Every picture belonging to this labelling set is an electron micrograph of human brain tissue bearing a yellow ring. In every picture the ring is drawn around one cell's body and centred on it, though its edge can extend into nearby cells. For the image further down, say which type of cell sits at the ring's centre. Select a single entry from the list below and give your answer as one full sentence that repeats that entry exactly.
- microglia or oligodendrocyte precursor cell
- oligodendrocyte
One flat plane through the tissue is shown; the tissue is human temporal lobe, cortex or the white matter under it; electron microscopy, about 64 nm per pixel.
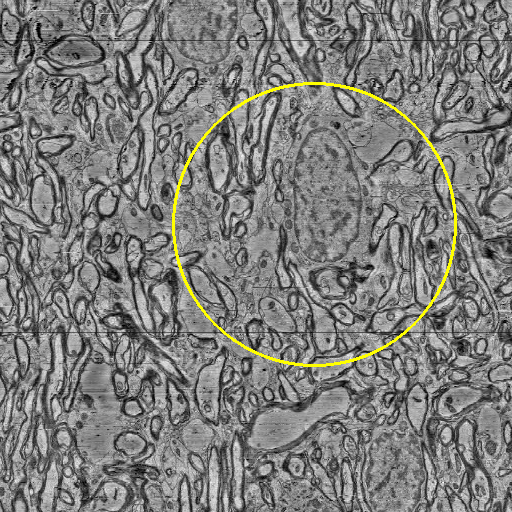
In the picture, an oligodendrocyte is the cell at the centre of the yellow ring.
